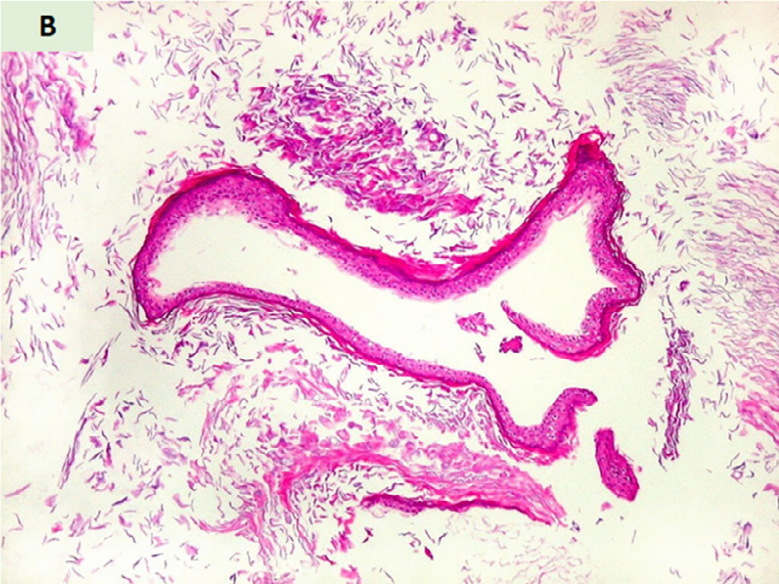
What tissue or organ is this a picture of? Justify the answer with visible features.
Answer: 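A folded, ribbon-like band of tissue several cell layers thick runs across the centre. The band contains small purple nuclei in stacked layers. One surface of the band is bordered by a denser, deeper pink layer.
Stratified keratinized epithelium.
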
